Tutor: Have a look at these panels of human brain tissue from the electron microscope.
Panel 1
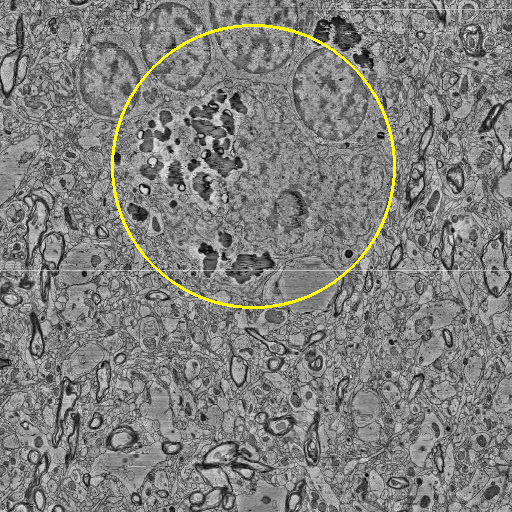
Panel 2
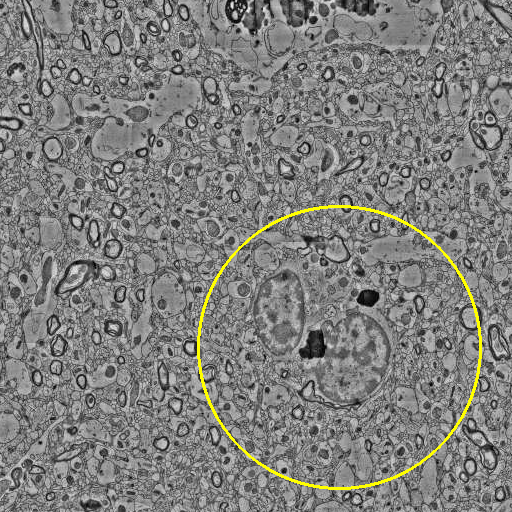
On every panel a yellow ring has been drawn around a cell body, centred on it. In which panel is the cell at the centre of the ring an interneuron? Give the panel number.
1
